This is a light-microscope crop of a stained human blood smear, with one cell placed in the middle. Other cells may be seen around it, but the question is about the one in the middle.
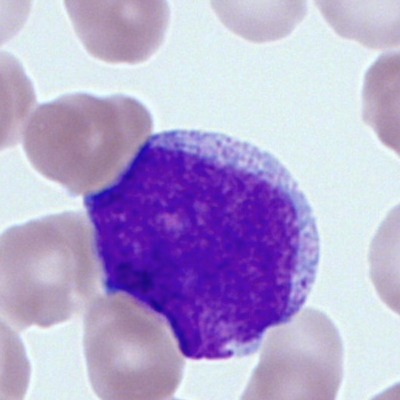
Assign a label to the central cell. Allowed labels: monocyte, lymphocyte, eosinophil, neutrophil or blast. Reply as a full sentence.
At the center of the crop sits a blast.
